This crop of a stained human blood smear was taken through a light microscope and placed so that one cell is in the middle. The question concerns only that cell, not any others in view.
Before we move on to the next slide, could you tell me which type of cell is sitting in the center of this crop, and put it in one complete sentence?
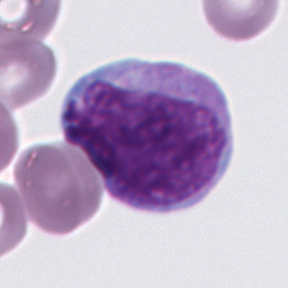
In this smear crop, the middle cell is an atypical promyelocyte.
